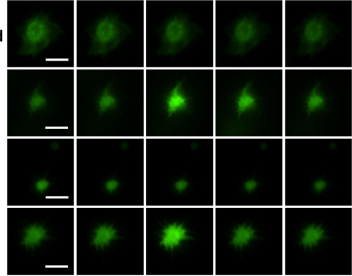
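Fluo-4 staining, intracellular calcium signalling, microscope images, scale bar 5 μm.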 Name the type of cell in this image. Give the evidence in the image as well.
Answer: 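Several of the cells are spread, with short spiky projections radiating from a central body. The answer: platelets.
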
